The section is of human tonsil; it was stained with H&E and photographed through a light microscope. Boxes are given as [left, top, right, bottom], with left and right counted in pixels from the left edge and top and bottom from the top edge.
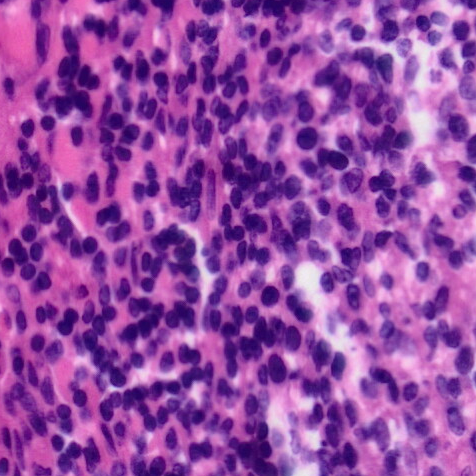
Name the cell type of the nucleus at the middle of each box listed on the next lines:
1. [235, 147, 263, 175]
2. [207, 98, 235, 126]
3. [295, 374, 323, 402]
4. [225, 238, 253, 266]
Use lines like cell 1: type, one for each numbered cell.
cell 1: small lymphocyte
cell 2: small lymphocyte
cell 3: proliferating B cell
cell 4: small lymphocyte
